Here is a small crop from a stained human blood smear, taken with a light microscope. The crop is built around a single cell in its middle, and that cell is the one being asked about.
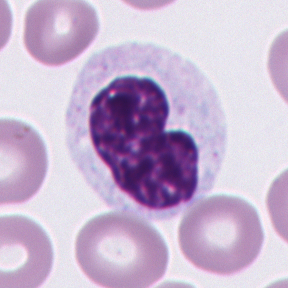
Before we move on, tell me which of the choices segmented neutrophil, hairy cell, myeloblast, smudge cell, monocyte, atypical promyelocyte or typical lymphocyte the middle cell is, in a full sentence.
The centrally positioned cell in the crop represents a segmented neutrophil.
